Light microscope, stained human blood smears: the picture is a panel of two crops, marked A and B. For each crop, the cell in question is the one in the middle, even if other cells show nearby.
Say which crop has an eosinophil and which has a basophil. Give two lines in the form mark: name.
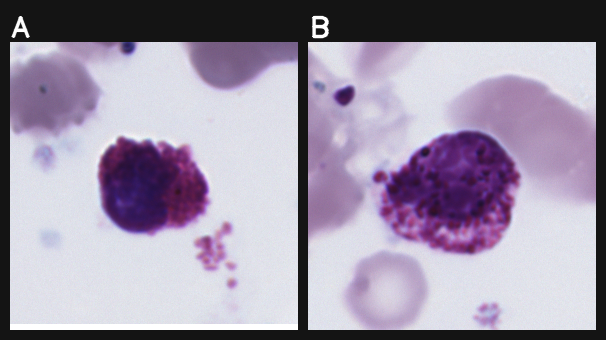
A: eosinophil
B: basophil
